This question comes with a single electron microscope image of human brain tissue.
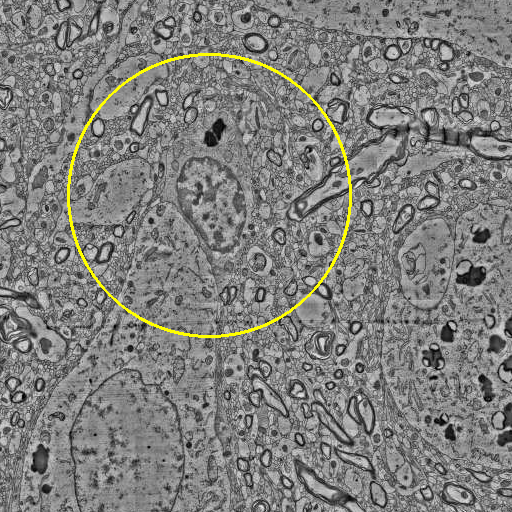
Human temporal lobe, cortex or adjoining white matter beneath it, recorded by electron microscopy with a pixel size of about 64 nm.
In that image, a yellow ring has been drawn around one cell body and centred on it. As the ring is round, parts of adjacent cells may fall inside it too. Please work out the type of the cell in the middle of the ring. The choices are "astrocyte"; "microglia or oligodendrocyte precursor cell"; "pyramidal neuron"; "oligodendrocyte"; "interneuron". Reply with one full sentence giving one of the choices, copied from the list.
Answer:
Of the choices, an oligodendrocyte is the cell sitting in the middle of the ring.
